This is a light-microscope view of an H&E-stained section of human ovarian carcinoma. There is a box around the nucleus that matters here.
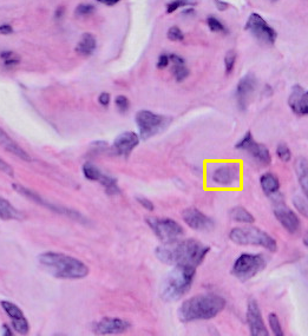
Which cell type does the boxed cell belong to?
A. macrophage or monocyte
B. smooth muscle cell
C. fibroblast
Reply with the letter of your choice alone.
B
